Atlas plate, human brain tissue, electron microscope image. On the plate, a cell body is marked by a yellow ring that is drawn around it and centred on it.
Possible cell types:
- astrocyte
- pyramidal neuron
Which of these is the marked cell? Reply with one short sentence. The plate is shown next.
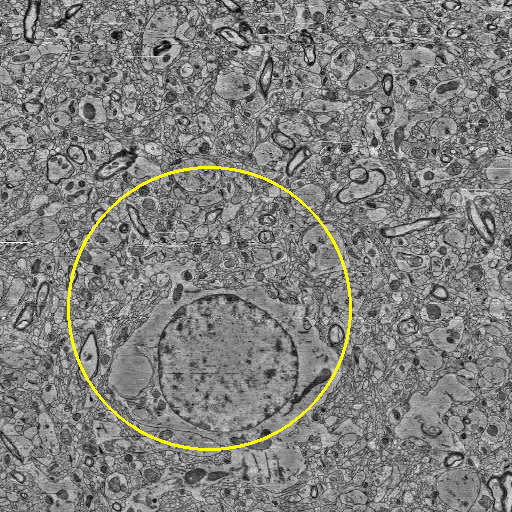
The marked cell is an astrocyte.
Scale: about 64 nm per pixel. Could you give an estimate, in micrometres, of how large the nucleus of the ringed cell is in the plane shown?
In this plane, the nucleus measures approximately 9 micrometres across.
